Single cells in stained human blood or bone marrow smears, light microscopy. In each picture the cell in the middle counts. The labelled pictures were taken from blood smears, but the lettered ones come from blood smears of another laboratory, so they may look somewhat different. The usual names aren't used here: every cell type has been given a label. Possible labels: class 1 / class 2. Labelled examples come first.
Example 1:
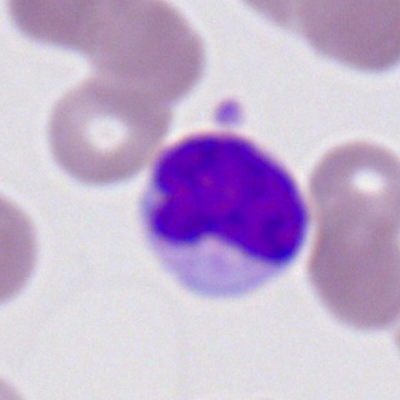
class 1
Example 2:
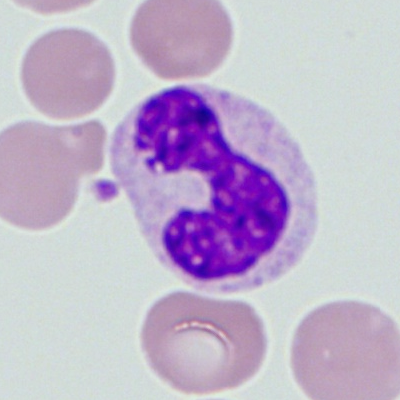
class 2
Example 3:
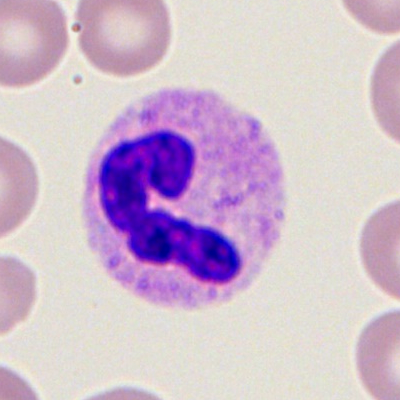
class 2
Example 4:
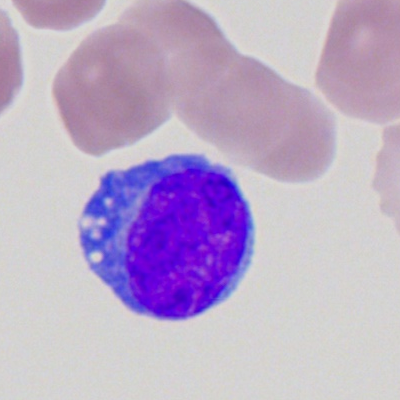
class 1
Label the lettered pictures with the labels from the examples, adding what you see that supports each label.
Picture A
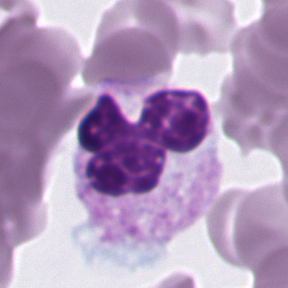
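Answer: class 2. The cytoplasm is plentiful and pale pinkish-lilac.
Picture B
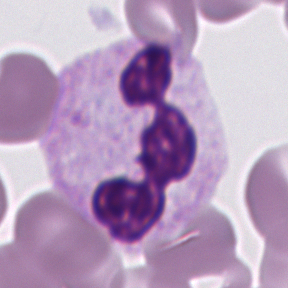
Answer: class 2. The cytoplasm is plentiful and pale pinkish-lilac.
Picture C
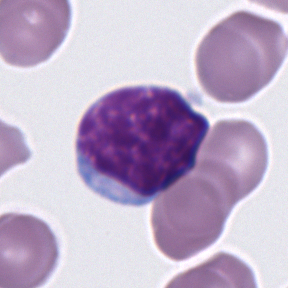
Answer: class 1. The cytoplasm is a narrow crescent seen mainly along the lower left edge of the cell.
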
